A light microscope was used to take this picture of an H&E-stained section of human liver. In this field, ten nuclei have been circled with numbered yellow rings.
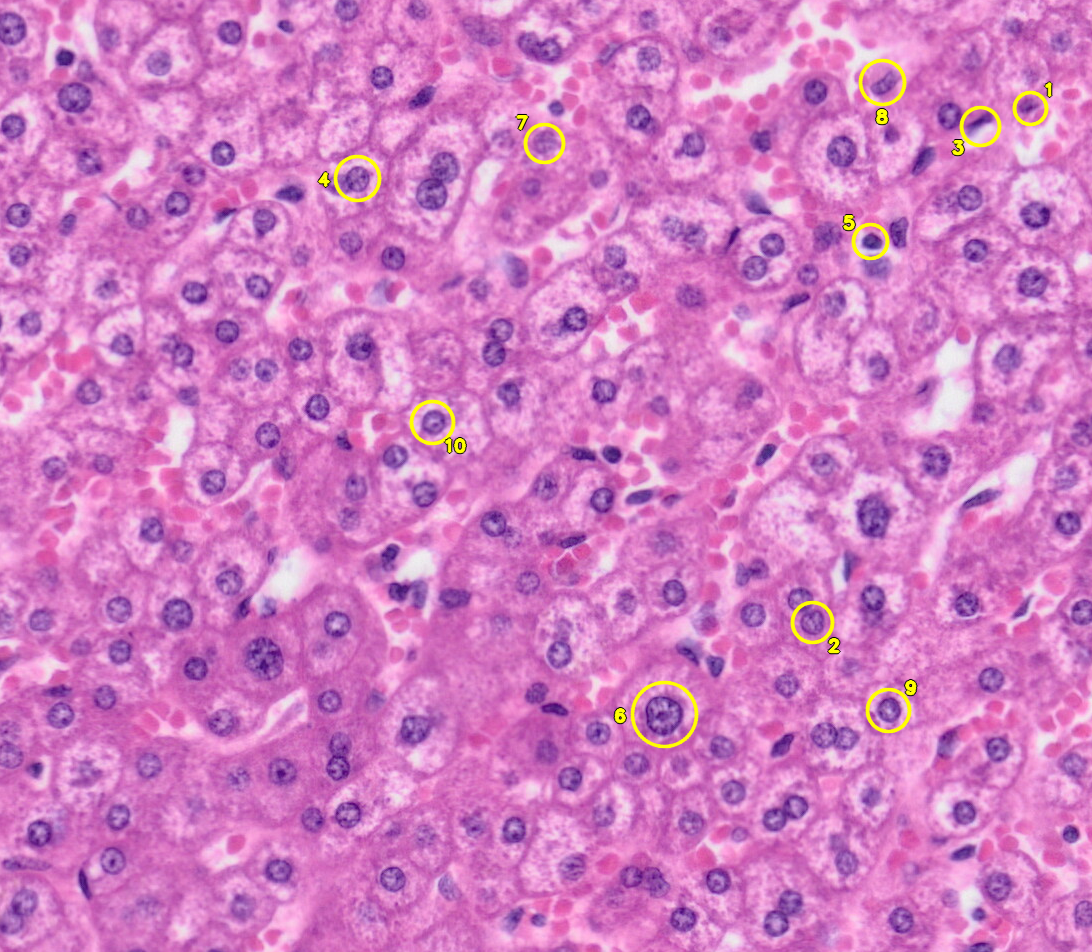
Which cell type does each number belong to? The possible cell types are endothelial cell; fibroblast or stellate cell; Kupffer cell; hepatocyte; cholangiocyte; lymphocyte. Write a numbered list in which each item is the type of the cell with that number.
1. fibroblast or stellate cell
2. hepatocyte
3. endothelial cell
4. hepatocyte
5. lymphocyte
6. hepatocyte
7. hepatocyte
8. Kupffer cell
9. hepatocyte
10. hepatocyte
